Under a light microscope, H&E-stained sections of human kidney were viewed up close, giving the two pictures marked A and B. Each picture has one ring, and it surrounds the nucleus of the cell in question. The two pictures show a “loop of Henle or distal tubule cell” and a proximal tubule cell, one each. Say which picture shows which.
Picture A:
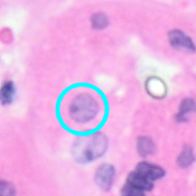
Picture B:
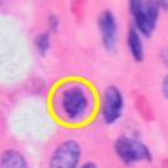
A: proximal tubule cell
B: loop of Henle or distal tubule cell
